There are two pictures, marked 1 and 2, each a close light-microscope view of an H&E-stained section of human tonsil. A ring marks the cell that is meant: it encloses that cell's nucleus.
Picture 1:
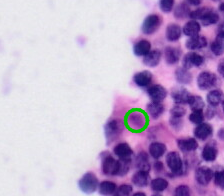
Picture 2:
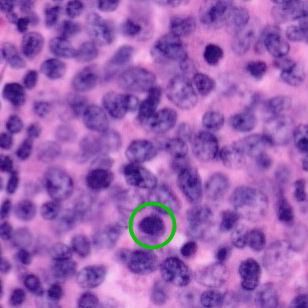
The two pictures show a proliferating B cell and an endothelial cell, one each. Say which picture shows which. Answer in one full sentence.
Picture 1 shows an endothelial cell and picture 2 shows a proliferating B cell.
